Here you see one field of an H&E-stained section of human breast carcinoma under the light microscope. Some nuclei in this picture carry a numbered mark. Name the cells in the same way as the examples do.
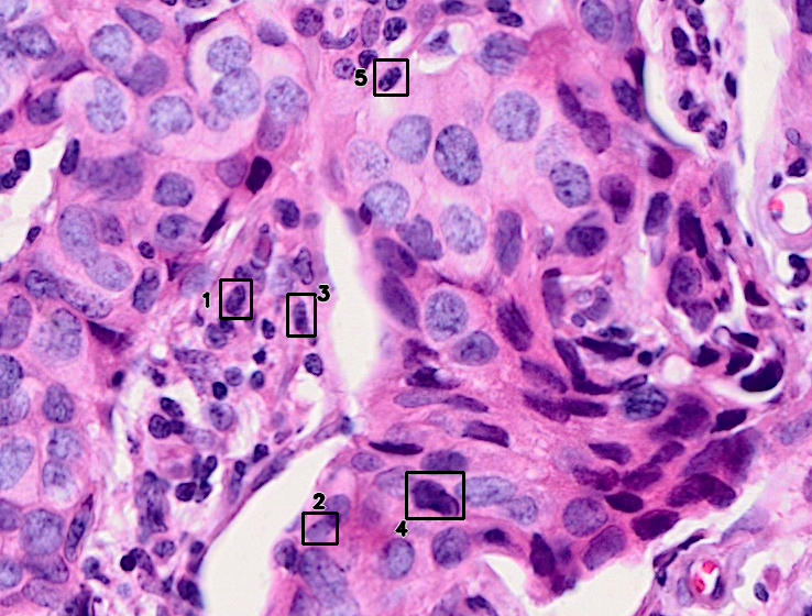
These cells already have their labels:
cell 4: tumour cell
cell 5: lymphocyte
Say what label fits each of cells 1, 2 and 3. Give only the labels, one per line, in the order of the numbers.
lymphocyte
tumour cell
lymphocyte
